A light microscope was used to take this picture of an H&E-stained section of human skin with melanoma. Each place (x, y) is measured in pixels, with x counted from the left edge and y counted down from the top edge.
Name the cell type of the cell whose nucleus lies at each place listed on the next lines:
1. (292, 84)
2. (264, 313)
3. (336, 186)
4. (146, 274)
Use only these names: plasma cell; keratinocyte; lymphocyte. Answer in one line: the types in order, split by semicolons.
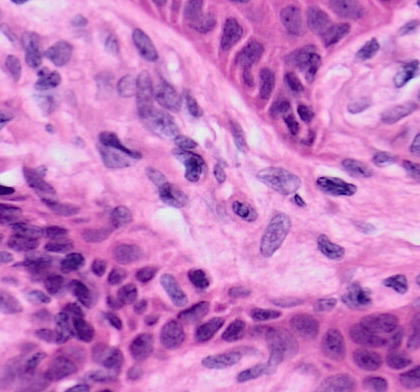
keratinocyte; keratinocyte; lymphocyte; keratinocyte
